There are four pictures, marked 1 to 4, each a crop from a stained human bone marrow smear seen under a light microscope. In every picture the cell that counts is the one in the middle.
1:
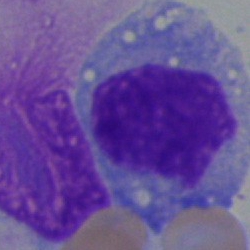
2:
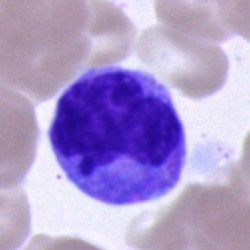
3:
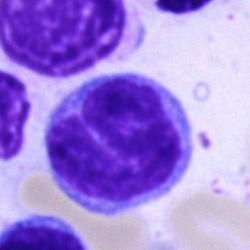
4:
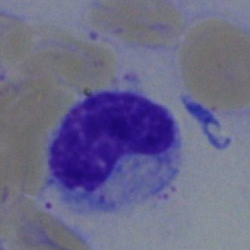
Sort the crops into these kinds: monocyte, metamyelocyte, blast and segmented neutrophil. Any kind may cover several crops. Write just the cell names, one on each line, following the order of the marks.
blast
monocyte
monocyte
metamyelocyte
